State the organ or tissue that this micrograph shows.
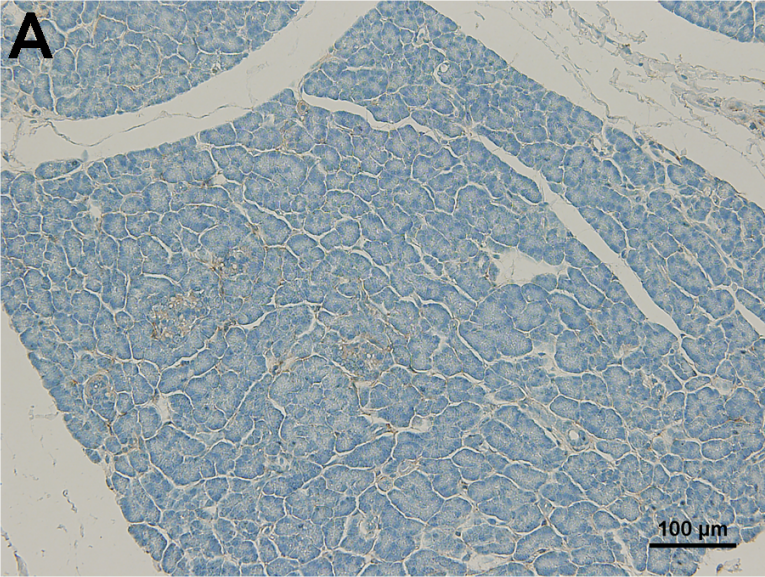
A: pancreas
